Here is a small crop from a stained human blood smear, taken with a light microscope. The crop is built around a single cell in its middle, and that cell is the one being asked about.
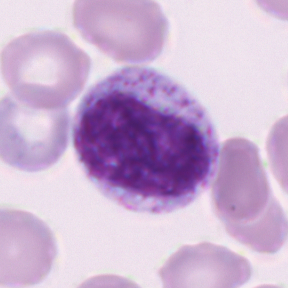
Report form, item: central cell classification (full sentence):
Where the crop is centred, there is a metamyelocyte.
